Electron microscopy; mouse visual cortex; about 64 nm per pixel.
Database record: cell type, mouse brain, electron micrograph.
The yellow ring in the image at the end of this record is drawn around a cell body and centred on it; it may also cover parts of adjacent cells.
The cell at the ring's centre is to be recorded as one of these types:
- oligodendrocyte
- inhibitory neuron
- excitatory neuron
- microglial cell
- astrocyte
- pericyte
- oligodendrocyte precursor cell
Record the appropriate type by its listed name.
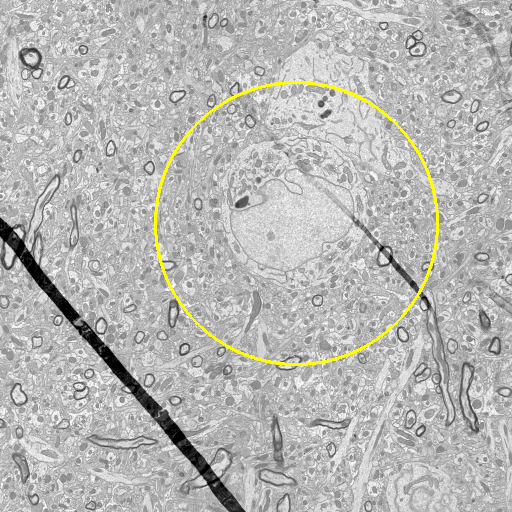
inhibitory neuron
